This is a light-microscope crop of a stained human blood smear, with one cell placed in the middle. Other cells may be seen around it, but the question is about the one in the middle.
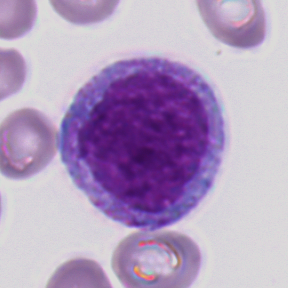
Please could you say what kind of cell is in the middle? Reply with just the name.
promyelocyte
